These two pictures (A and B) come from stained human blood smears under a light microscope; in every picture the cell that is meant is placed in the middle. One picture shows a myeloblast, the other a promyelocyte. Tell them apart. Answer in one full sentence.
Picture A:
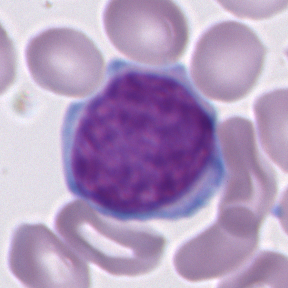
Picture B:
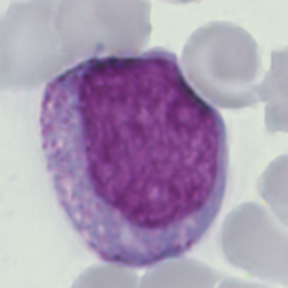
It is picture A that shows a myeloblast, and picture B that shows a promyelocyte.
